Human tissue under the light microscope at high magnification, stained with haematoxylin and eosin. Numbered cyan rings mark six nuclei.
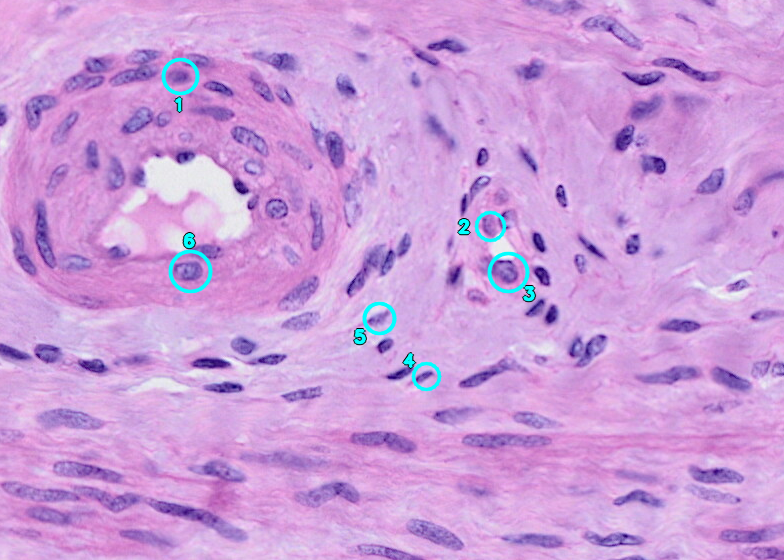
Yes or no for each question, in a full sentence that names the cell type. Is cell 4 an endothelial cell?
No, cell 4 is correctly identified as a fibroblast and not as an endothelial cell.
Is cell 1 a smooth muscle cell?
Yes, the cell bearing the number 1 is a smooth muscle cell.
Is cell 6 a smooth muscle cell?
Yes, the cell identified by number 6 is a smooth muscle cell.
